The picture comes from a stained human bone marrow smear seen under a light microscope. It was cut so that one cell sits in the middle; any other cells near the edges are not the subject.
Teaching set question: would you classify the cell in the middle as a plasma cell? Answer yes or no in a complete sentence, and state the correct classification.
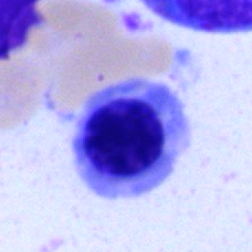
No, the middle cell is actually an erythroblast rather than a plasma cell.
